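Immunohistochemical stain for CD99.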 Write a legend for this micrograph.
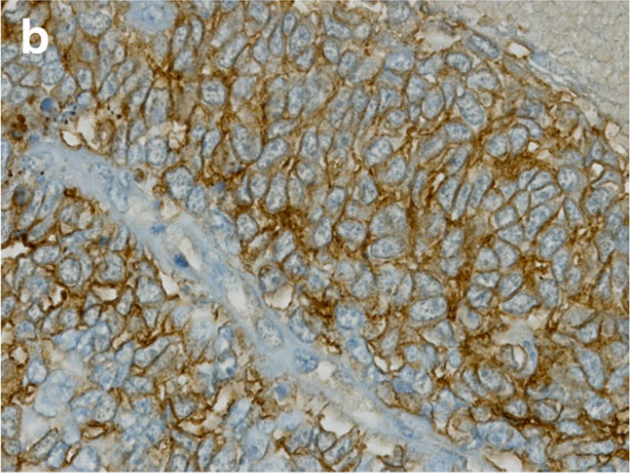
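Tightly packed tumor cells with oval blue nuclei and little cytoplasm fill the field on either side of a thin strip of pale stroma. A strong brown stain outlines the cell membranes, giving a net-like pattern around each cell, while the nuclei and the stroma stay blue.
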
